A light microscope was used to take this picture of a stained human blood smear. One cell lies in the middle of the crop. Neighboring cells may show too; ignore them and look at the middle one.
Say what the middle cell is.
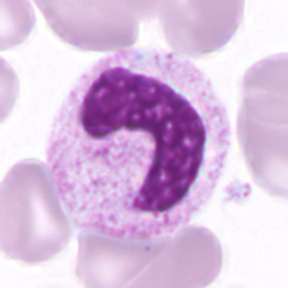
band neutrophil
